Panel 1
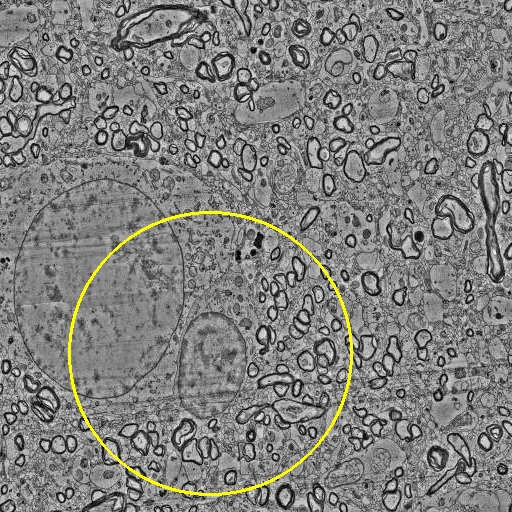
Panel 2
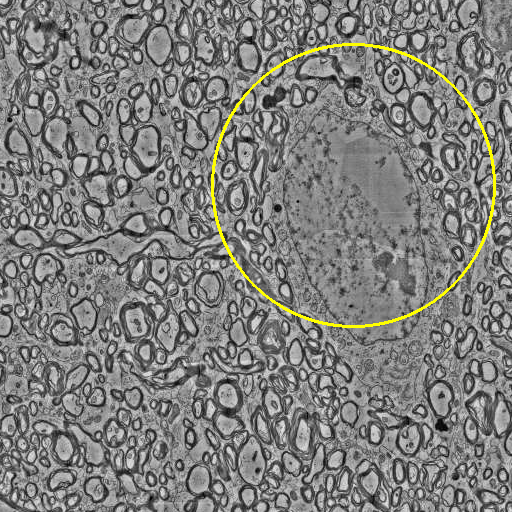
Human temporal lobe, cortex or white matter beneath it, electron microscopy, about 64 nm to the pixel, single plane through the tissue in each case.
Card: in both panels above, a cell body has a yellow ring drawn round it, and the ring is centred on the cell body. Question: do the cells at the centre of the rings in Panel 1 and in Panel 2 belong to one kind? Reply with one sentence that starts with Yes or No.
No, the cells centred in the rings of Panel 1 and Panel 2 are two kinds of cell.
